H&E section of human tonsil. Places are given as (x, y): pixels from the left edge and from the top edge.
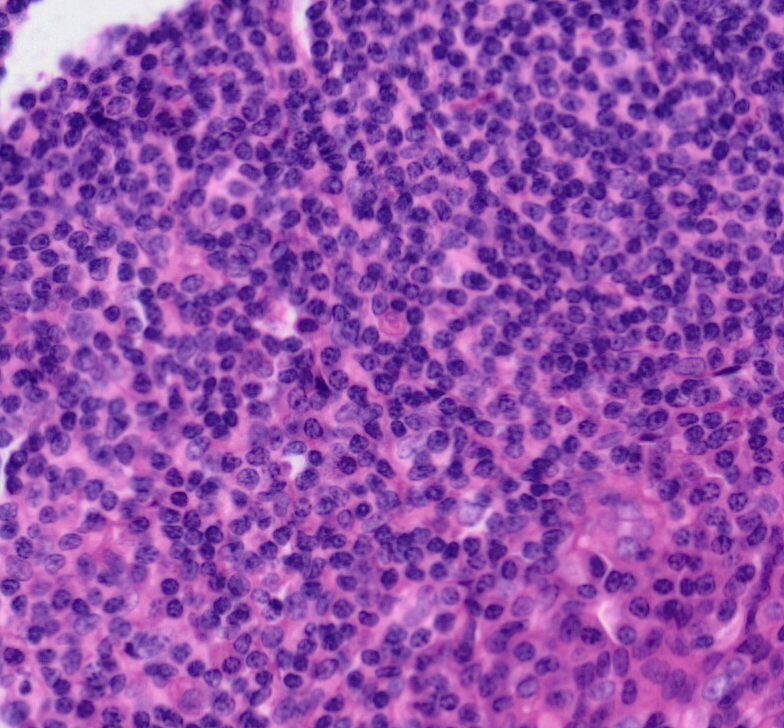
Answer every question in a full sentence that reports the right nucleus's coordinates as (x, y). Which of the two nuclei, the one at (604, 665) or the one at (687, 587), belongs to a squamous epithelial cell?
The nucleus of the pair that lies within a squamous epithelial cell is at (604, 665).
